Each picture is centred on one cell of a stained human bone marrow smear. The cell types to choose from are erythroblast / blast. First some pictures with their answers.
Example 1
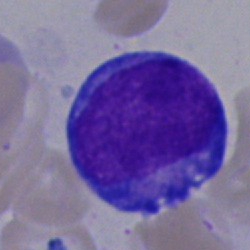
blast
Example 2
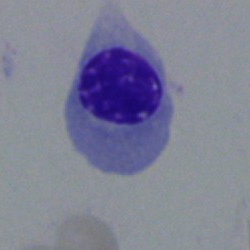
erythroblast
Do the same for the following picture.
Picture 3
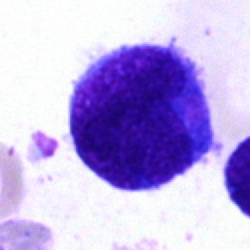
blast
